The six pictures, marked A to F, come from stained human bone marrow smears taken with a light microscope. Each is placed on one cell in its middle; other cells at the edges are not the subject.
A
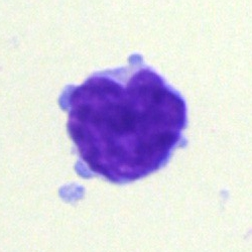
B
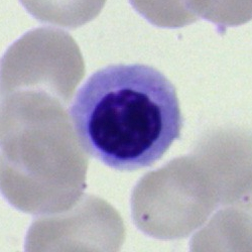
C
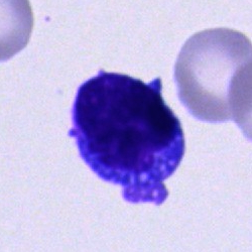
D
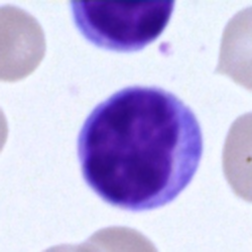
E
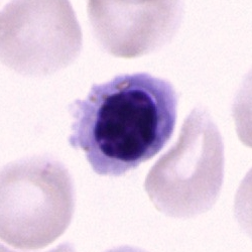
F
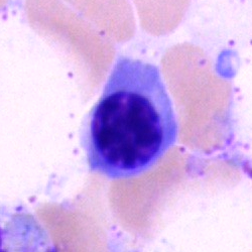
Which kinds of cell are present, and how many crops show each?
erythroblast: 3
lymphocyte: 2
blast: 1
